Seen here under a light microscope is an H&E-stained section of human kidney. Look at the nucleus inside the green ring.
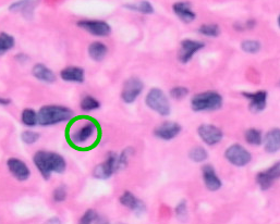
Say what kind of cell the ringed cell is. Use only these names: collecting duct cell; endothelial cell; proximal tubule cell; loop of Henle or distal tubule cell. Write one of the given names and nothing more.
endothelial cell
